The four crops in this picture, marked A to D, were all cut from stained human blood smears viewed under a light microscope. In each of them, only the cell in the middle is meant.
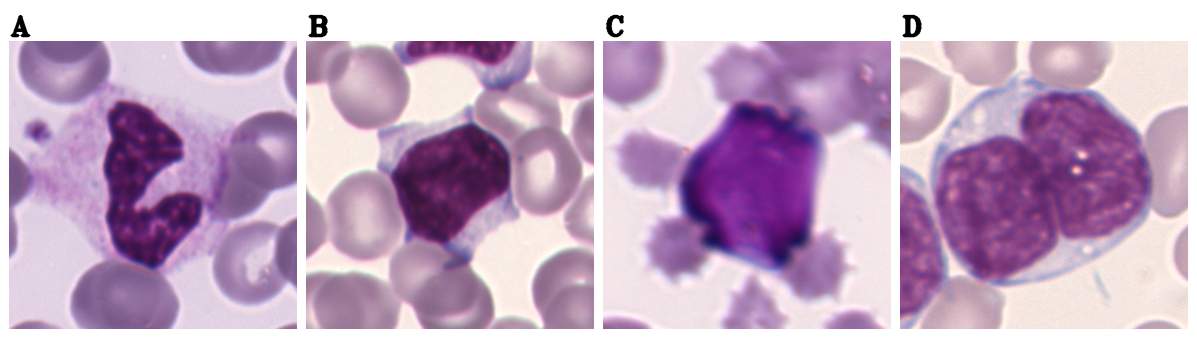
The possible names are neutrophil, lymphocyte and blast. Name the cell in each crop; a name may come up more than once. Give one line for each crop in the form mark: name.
A: neutrophil
B: lymphocyte
C: blast
D: blast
